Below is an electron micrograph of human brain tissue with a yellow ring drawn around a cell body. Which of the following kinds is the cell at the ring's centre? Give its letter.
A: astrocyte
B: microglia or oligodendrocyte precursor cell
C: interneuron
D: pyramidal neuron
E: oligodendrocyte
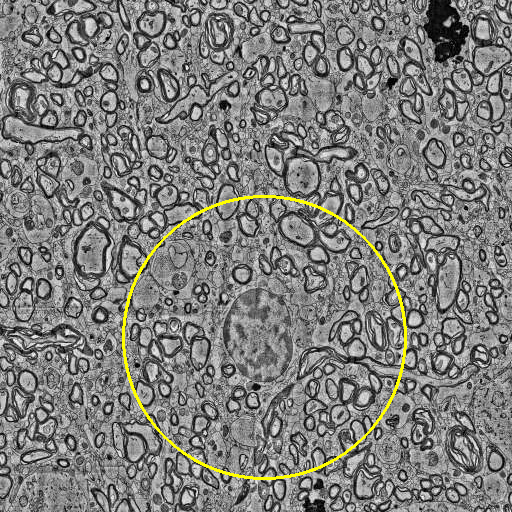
B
